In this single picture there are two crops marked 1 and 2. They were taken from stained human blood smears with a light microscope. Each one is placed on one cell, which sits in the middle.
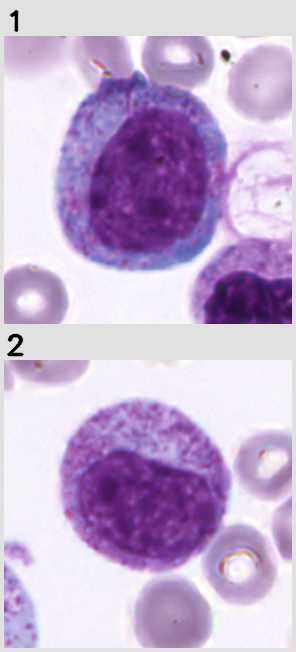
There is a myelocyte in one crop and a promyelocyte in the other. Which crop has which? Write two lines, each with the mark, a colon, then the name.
1: promyelocyte
2: myelocyte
